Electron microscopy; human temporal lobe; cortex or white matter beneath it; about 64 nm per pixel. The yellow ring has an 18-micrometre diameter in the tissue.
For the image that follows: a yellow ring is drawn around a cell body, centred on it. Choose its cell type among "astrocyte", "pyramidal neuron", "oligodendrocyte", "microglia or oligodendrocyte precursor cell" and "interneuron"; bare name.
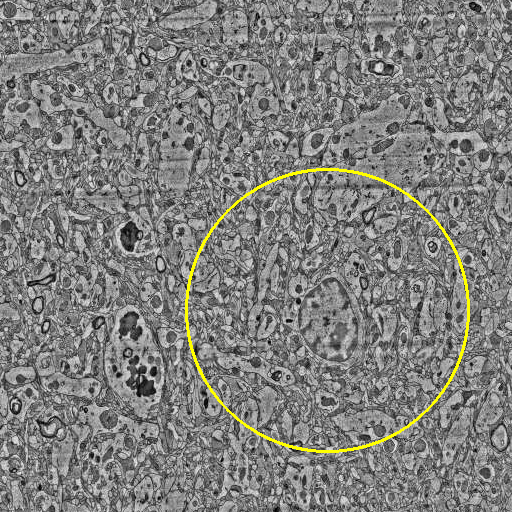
microglia or oligodendrocyte precursor cell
